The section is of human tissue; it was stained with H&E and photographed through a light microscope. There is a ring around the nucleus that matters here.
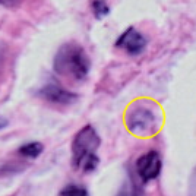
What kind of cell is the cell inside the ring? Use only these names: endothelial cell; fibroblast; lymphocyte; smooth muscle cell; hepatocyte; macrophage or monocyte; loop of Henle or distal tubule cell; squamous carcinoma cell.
macrophage or monocyte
